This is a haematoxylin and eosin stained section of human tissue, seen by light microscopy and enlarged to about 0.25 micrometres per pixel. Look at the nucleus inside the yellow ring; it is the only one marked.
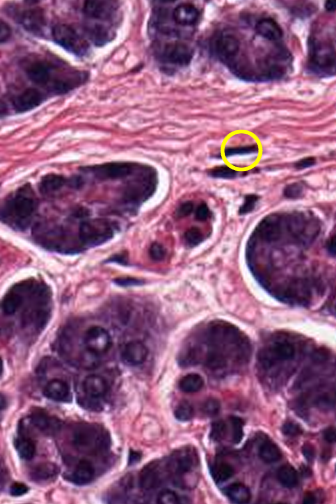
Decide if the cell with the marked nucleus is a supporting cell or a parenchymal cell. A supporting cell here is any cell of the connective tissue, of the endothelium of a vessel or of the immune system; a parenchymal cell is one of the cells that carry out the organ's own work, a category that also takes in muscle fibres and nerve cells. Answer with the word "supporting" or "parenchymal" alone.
supporting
